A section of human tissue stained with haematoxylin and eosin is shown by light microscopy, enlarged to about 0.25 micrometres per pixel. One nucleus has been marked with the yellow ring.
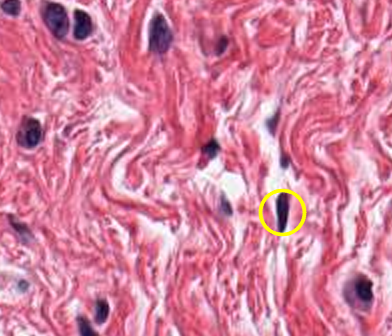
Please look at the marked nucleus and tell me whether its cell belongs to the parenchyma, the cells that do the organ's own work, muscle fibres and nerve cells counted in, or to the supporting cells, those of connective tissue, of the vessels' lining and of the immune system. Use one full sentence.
The indicated nucleus in this section belongs to a supporting cell.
